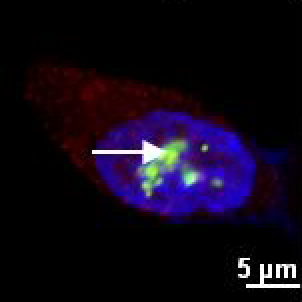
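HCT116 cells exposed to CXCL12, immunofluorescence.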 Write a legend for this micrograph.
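A single cultured cell fills much of the field, with an oval blue nucleus inside a spindle-shaped body of faint red cytoplasm. A white arrow points to this cluster, where green and red overlap.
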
